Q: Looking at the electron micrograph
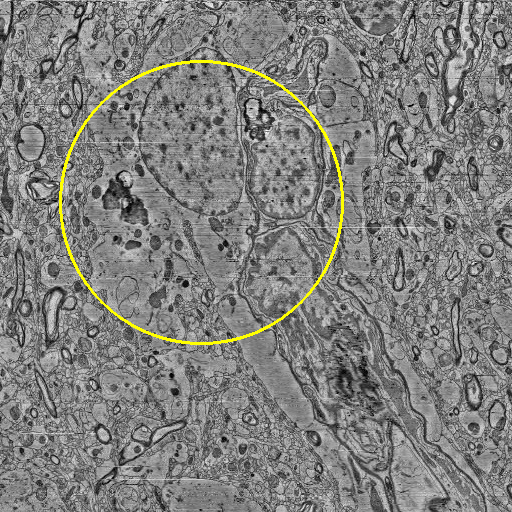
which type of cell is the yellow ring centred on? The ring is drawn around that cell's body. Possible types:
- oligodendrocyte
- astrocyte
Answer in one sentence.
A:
The yellow ring is centred on an astrocyte.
